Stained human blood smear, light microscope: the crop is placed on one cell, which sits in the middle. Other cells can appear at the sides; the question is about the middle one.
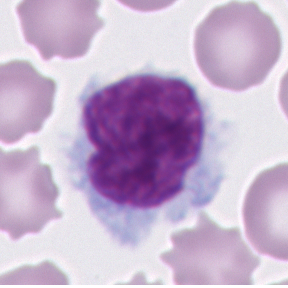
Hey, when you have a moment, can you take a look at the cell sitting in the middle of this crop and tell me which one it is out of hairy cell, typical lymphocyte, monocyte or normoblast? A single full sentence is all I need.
The cell in the middle of this crop is a hairy cell.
